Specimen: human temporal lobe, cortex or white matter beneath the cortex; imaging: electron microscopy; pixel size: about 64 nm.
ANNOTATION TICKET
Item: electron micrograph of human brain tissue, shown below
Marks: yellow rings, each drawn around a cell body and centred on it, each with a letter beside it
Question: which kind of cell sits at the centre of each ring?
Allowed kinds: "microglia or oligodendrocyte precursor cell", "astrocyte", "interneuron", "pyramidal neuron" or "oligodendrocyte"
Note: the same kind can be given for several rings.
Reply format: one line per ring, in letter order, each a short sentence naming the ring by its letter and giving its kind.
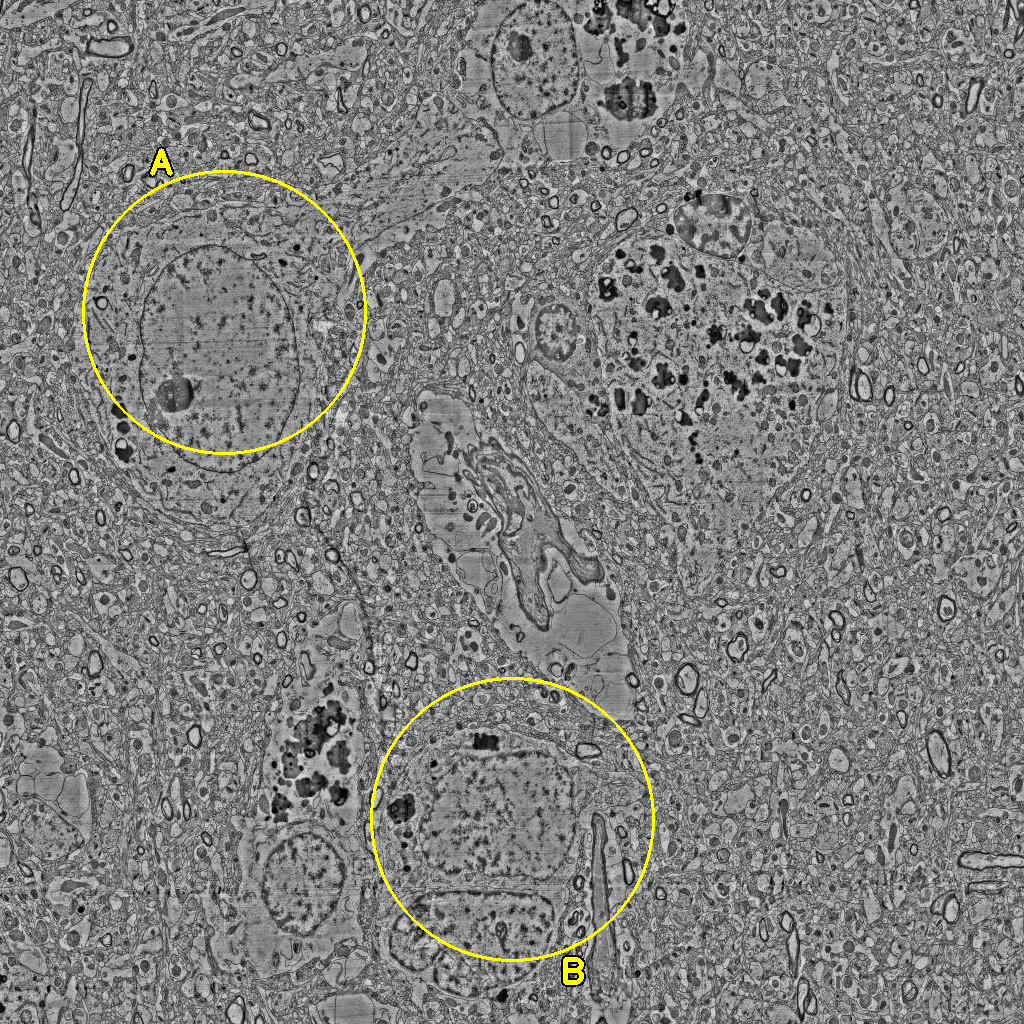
The cell at the centre of ring A is a pyramidal neuron.
The cell at the centre of ring B is an interneuron.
